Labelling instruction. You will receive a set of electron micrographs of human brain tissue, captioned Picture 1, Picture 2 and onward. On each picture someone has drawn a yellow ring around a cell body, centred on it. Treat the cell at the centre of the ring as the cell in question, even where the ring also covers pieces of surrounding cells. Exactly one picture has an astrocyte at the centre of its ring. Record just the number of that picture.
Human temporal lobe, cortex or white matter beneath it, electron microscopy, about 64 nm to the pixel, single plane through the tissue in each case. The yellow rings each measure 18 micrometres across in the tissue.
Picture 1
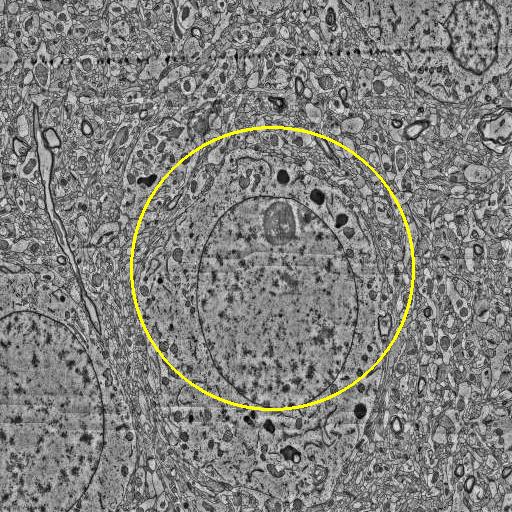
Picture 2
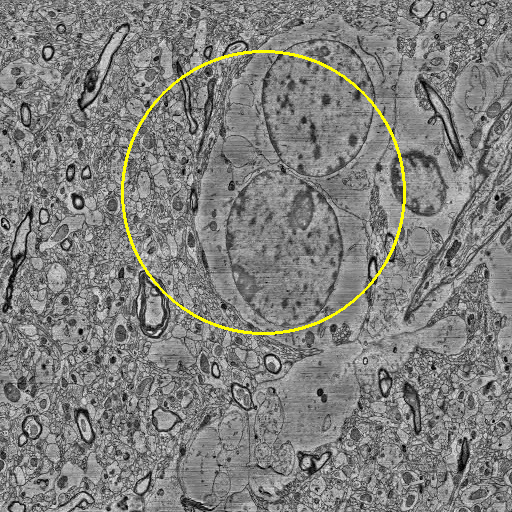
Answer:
2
